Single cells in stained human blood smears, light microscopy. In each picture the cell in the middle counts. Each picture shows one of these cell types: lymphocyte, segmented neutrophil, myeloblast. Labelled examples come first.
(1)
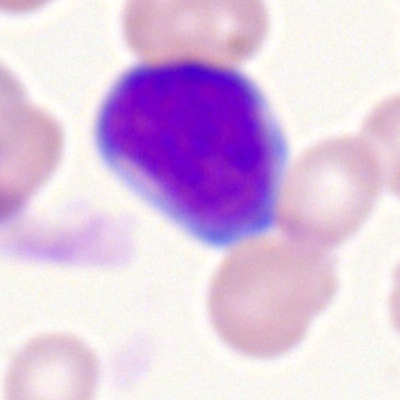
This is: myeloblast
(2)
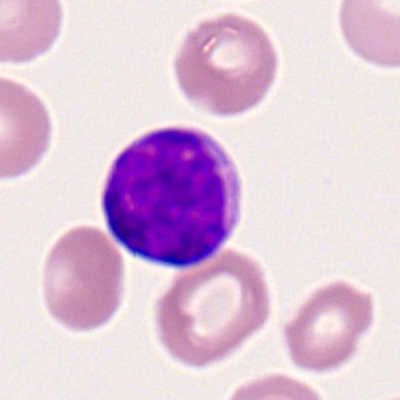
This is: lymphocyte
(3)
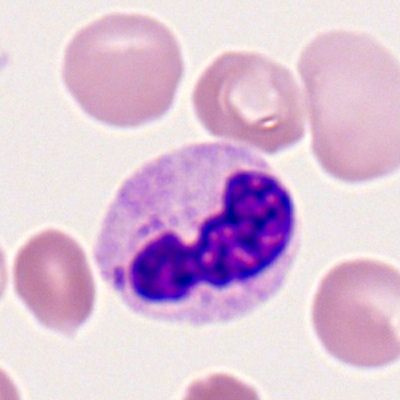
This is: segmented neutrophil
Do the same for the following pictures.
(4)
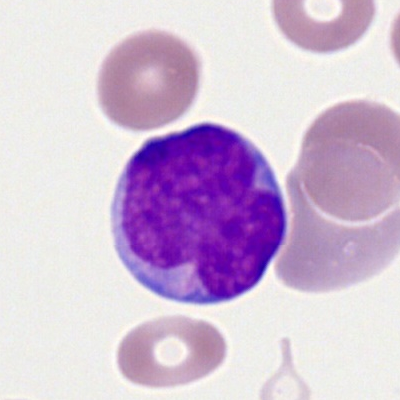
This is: myeloblast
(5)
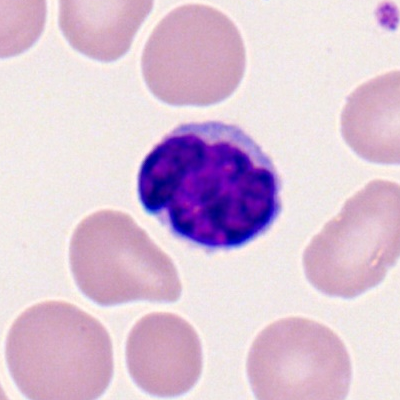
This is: lymphocyte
